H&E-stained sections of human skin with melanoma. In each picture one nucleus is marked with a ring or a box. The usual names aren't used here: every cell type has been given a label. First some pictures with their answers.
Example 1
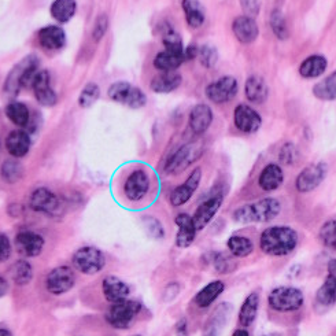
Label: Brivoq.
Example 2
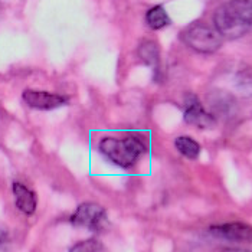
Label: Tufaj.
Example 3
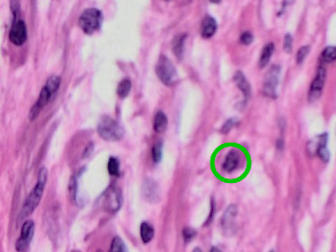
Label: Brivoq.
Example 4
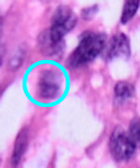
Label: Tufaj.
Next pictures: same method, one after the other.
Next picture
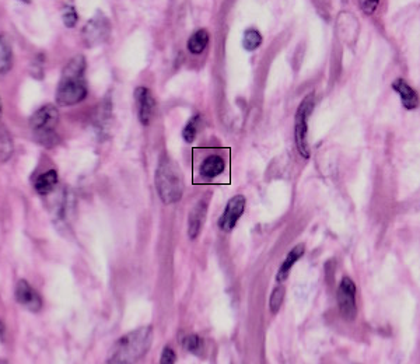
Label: Brivoq.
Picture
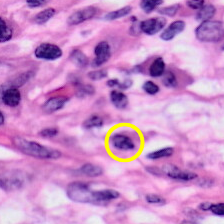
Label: Brivoq.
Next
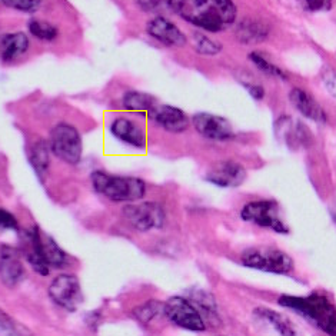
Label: Tufaj.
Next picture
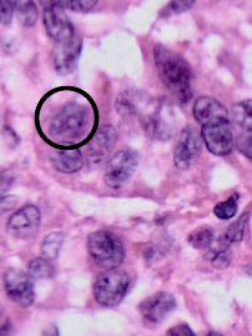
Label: Tufaj.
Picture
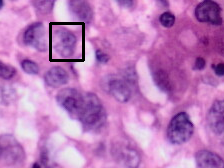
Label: Tufaj.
